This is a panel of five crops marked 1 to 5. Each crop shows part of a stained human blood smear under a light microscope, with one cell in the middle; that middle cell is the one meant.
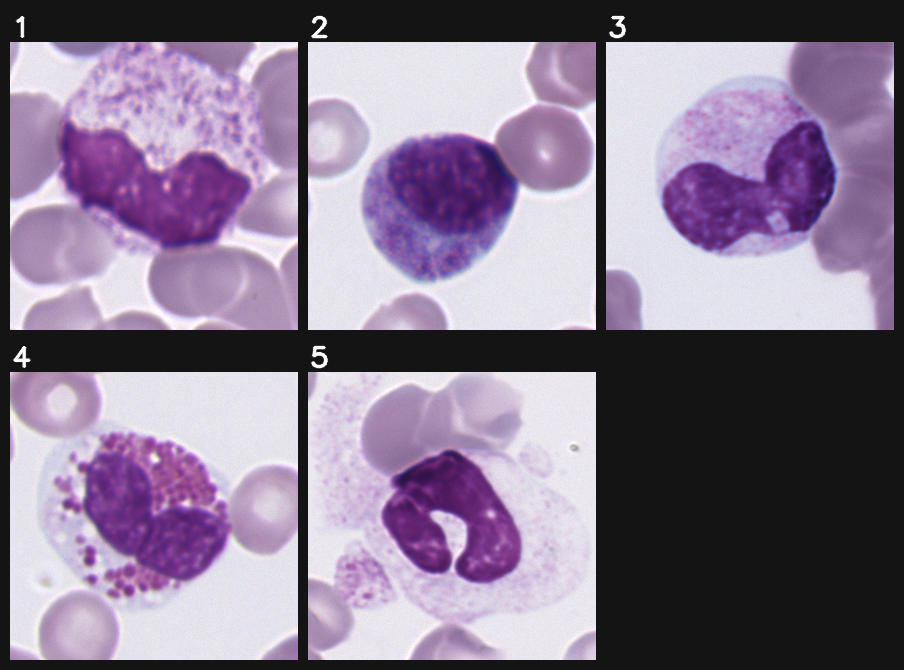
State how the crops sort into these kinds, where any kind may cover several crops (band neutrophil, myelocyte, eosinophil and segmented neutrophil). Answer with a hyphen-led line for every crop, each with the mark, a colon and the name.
- 1: band neutrophil
- 2: myelocyte
- 3: band neutrophil
- 4: eosinophil
- 5: band neutrophil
